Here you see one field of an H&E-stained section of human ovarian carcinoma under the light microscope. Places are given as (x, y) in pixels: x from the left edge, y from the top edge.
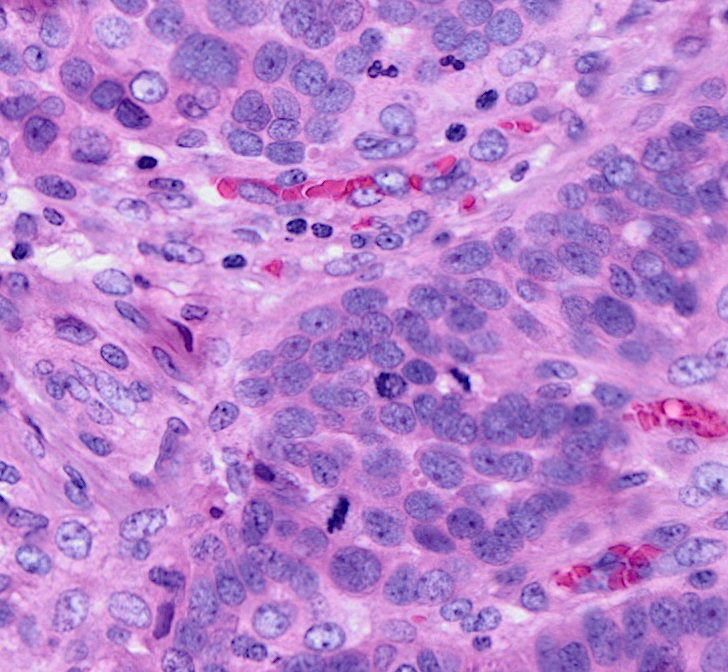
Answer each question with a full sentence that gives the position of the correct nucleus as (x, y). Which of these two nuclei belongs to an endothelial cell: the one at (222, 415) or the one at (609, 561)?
Among the two nuclei, the one lying at (609, 561) is part of an endothelial cell.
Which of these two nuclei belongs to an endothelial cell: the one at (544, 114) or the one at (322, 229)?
Identify the nucleus at (544, 114) as the one belonging to an endothelial cell.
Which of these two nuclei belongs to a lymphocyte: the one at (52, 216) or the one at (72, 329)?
The nucleus that belongs to a lymphocyte sits at (52, 216).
